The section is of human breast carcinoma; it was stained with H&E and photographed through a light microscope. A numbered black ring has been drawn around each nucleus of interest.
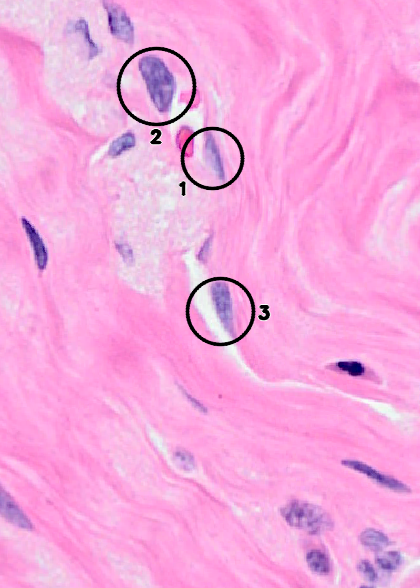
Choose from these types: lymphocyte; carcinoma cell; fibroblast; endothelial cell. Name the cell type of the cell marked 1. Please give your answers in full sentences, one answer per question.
Number 1 is placed on an endothelial cell here.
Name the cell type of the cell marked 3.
Looking at the numbered marks, cell 3 is a fibroblast.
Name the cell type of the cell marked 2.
Cell 2 of the marked set is an endothelial cell.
